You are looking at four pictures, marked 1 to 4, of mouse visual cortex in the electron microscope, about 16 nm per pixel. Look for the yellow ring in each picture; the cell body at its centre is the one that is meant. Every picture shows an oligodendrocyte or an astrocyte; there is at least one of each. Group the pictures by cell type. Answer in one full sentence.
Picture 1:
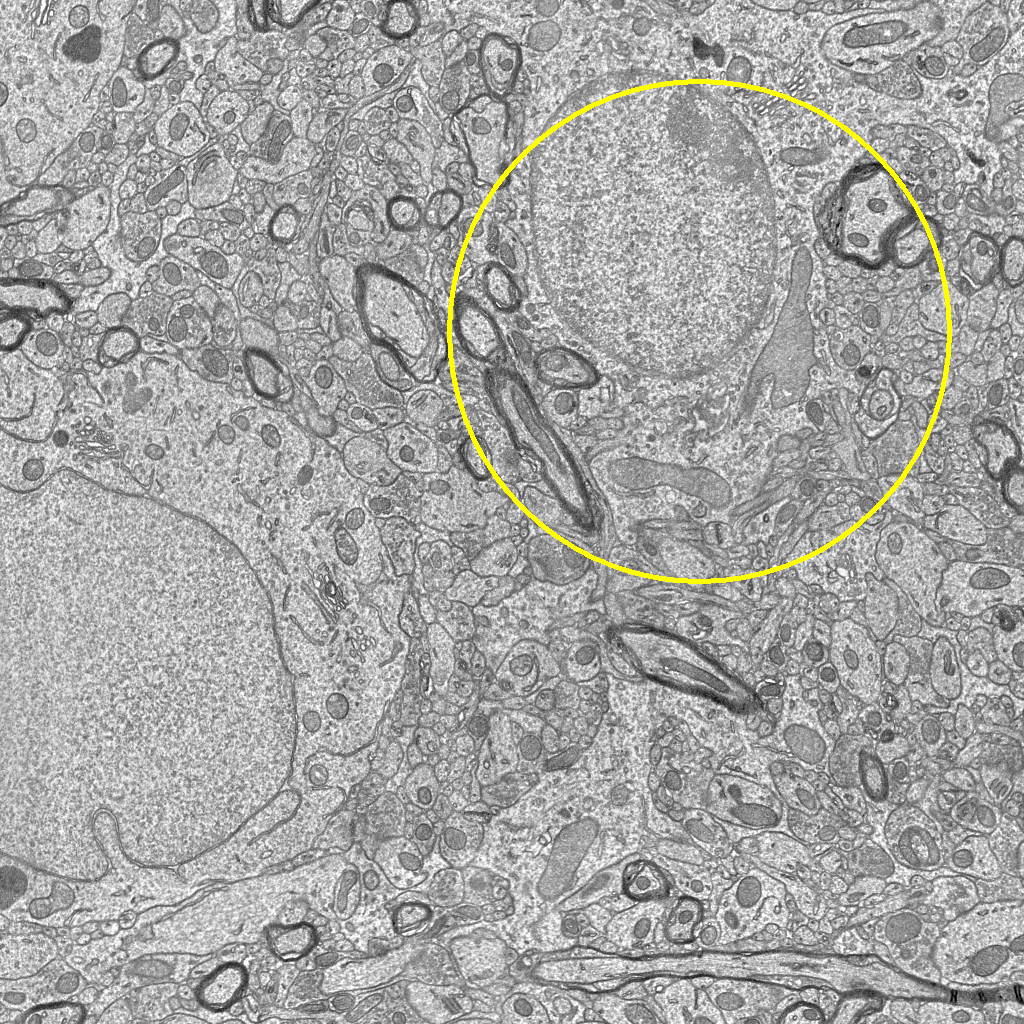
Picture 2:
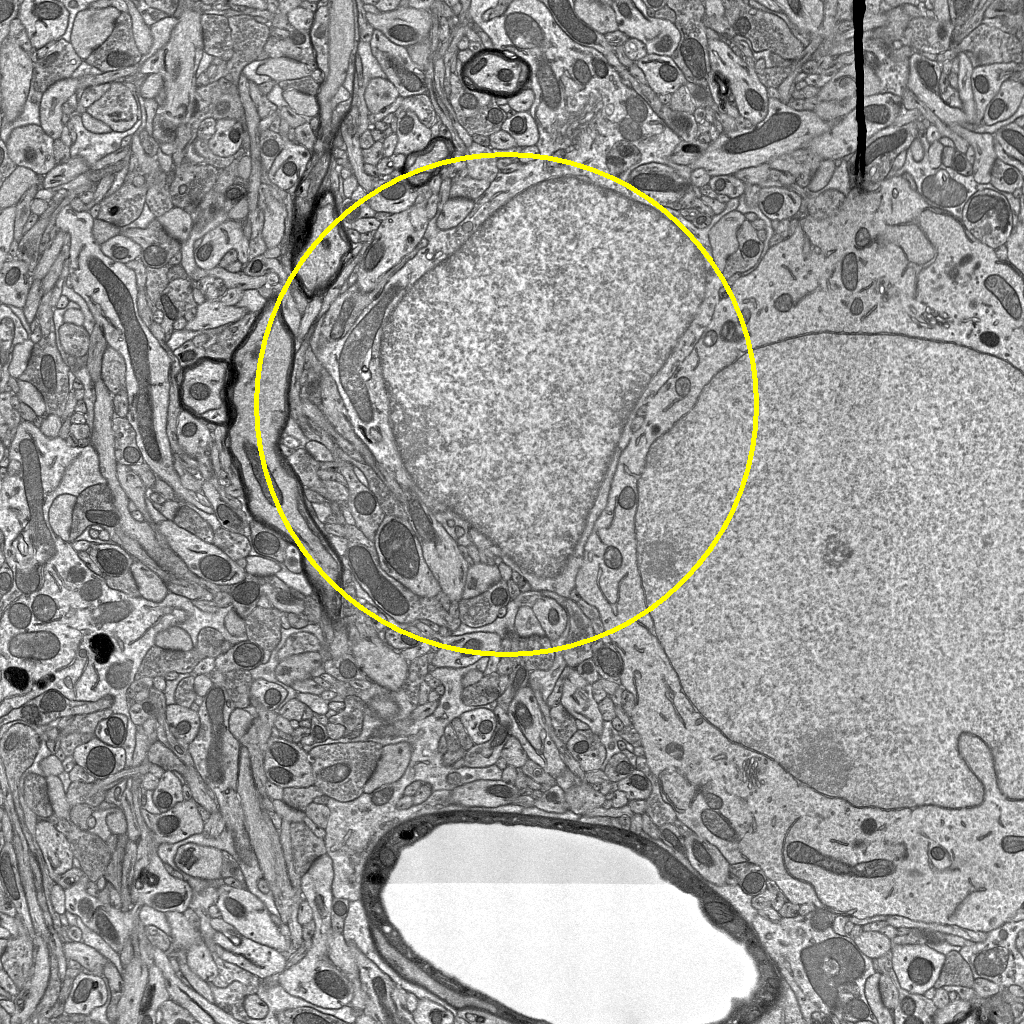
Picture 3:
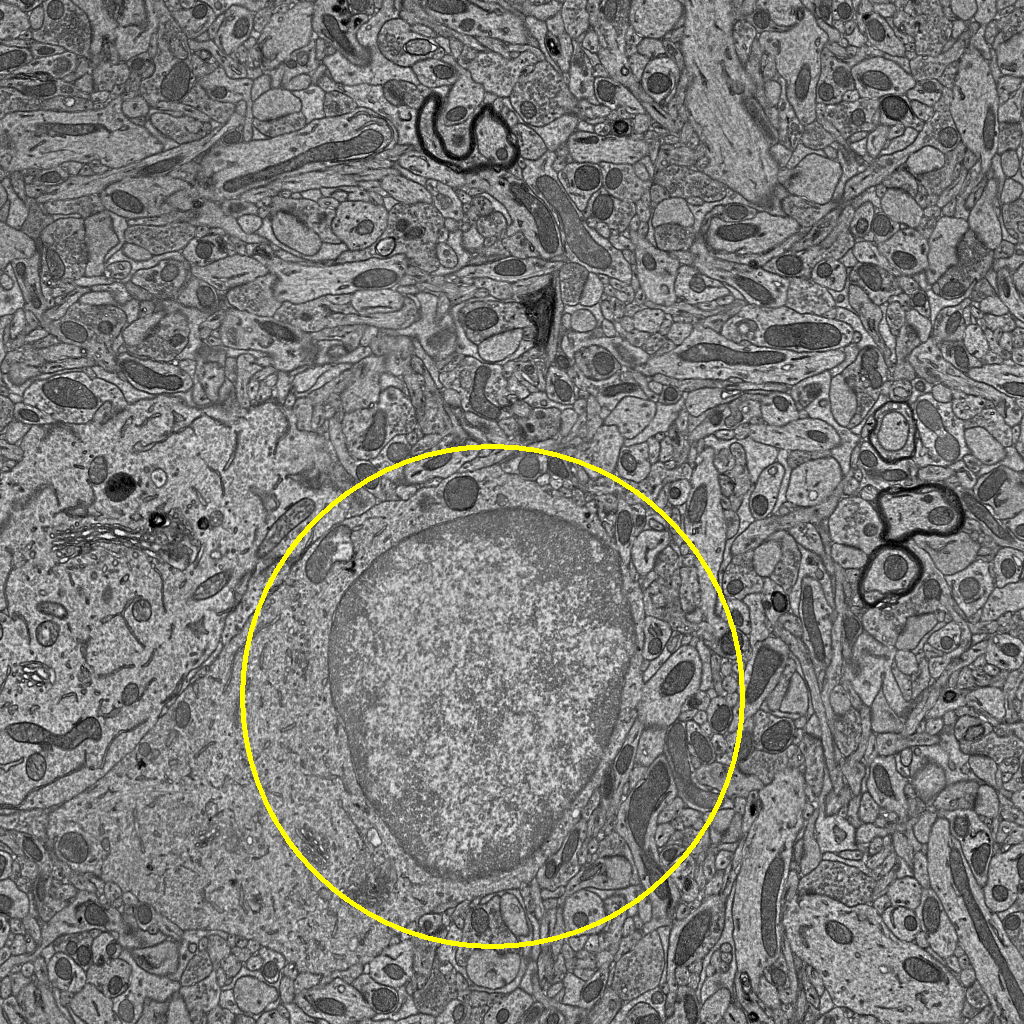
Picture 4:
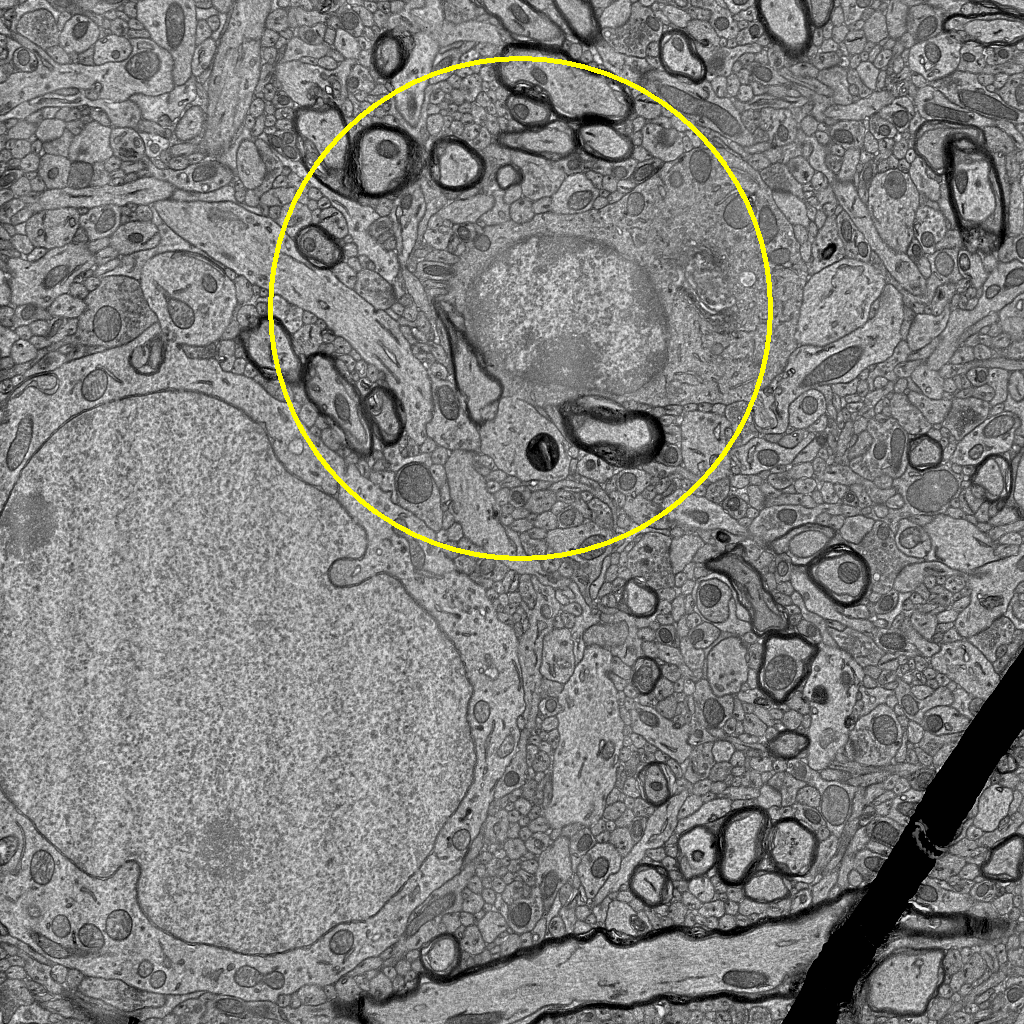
Pictures 3 and 4 show oligodendrocytes, and pictures 1 and 2 show astrocytes.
